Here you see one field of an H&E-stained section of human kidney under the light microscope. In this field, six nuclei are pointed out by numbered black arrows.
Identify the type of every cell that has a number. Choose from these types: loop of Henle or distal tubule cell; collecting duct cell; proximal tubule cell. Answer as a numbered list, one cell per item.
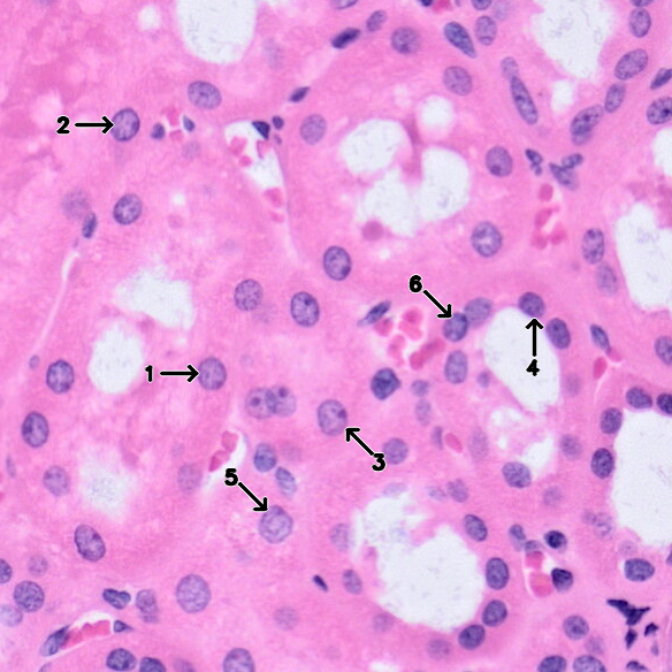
1. proximal tubule cell
2. proximal tubule cell
3. proximal tubule cell
4. loop of Henle or distal tubule cell
5. proximal tubule cell
6. loop of Henle or distal tubule cell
